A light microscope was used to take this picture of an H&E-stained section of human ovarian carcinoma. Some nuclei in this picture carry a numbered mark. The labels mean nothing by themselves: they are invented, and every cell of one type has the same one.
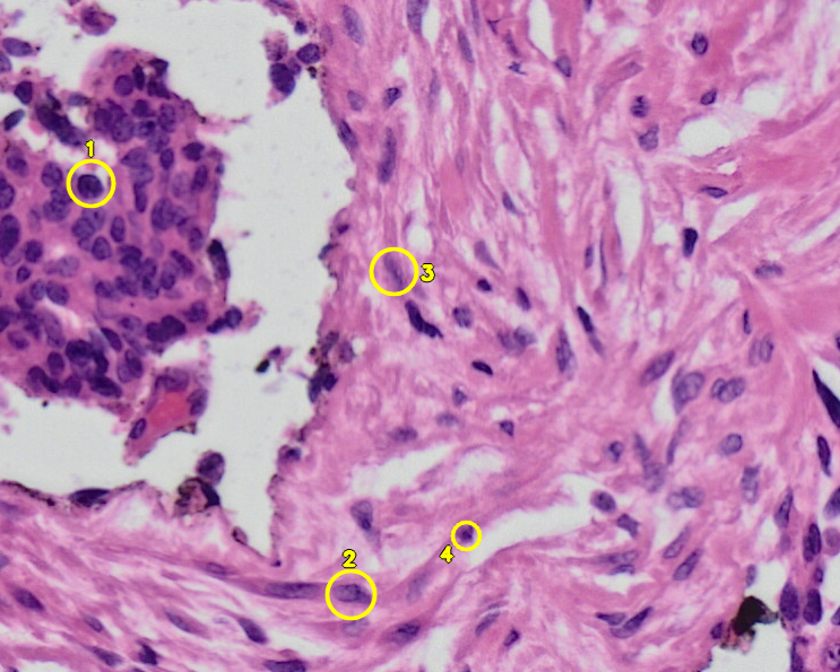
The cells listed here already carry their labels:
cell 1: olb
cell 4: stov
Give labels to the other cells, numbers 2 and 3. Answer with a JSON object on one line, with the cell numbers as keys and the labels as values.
{"2": "stov", "3": "stov"}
